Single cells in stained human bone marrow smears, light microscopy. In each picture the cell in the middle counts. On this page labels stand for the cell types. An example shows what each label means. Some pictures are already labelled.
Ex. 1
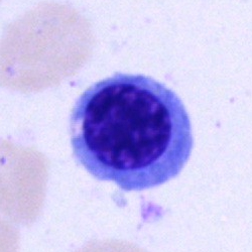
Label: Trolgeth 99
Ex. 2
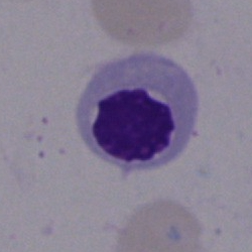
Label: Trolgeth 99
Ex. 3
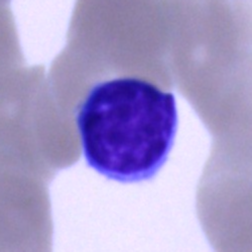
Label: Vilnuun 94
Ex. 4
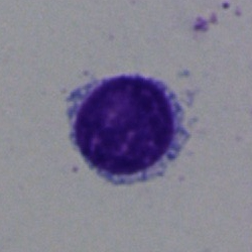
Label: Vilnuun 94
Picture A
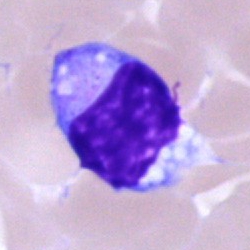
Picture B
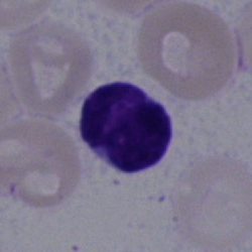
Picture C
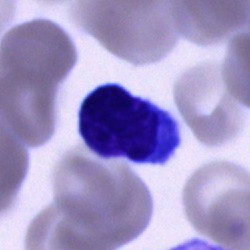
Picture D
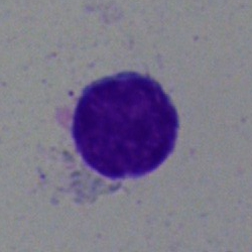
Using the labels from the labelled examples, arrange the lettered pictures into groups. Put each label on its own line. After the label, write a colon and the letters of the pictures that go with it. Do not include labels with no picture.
Vilnuun 94: A, B, C, D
